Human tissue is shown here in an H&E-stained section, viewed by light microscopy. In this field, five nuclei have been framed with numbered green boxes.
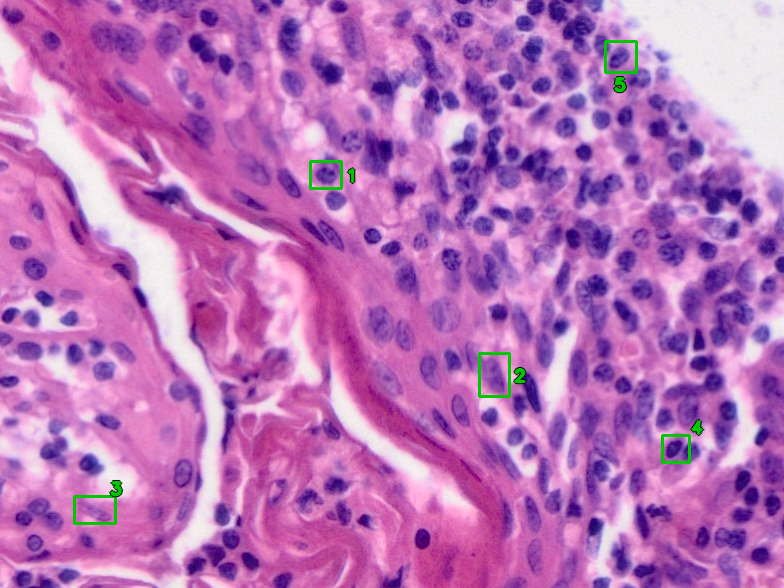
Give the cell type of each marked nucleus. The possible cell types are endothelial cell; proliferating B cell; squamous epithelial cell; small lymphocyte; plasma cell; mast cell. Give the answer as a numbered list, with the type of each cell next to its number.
1. plasma cell
2. squamous epithelial cell
3. squamous epithelial cell
4. plasma cell
5. plasma cell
